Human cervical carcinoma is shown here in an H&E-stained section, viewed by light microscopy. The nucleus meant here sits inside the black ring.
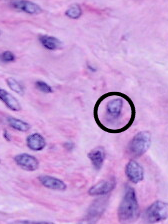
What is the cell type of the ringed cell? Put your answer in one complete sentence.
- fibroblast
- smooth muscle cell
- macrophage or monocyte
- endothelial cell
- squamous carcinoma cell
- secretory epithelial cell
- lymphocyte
For the purposes of cell typing, the ringed cell is categorized as a smooth muscle cell.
